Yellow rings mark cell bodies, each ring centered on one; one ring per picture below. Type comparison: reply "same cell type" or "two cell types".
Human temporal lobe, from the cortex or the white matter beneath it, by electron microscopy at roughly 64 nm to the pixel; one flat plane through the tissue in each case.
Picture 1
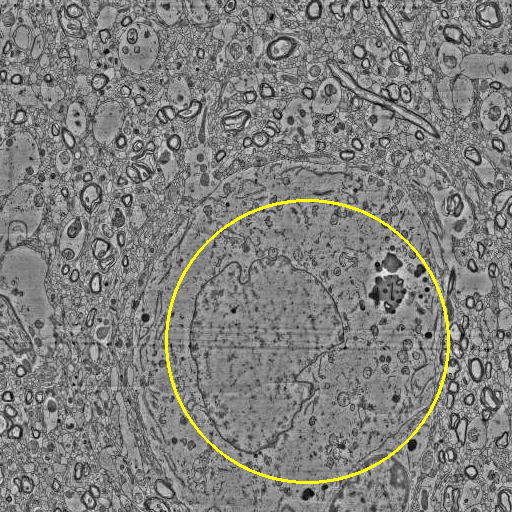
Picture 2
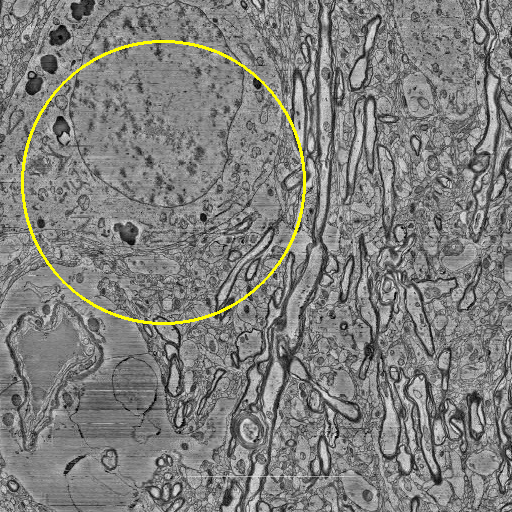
same cell type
